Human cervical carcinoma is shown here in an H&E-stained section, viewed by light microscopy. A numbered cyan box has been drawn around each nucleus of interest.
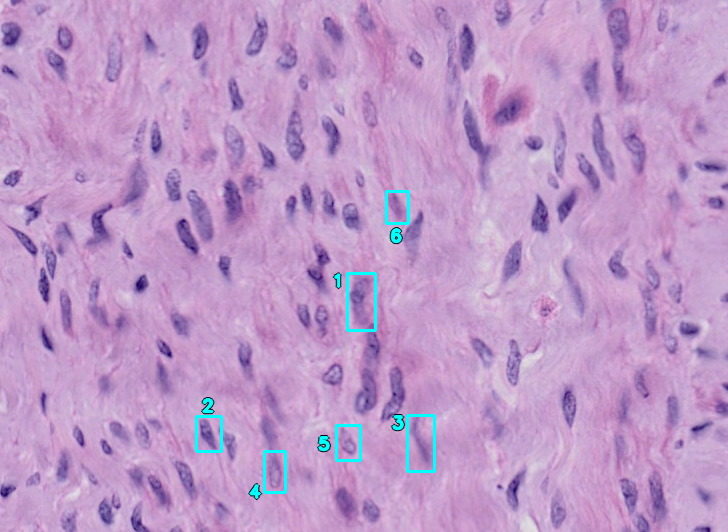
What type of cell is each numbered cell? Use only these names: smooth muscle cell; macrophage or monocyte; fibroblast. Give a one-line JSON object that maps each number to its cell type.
{"1": "smooth muscle cell", "2": "fibroblast", "3": "fibroblast", "4": "smooth muscle cell", "5": "smooth muscle cell", "6": "smooth muscle cell"}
